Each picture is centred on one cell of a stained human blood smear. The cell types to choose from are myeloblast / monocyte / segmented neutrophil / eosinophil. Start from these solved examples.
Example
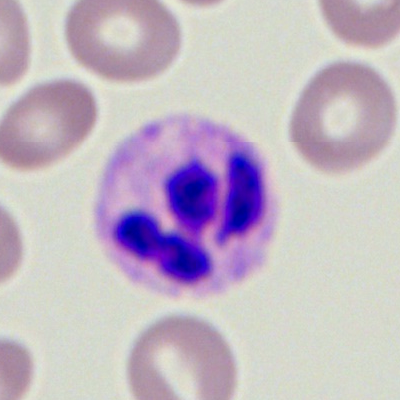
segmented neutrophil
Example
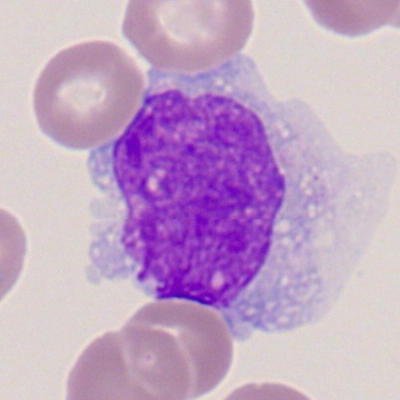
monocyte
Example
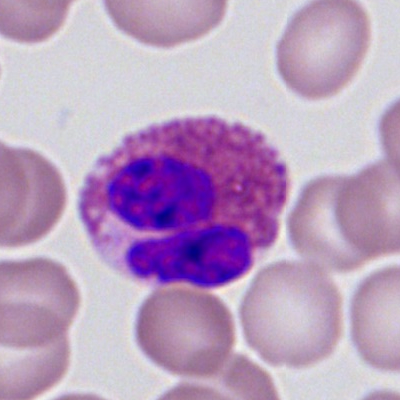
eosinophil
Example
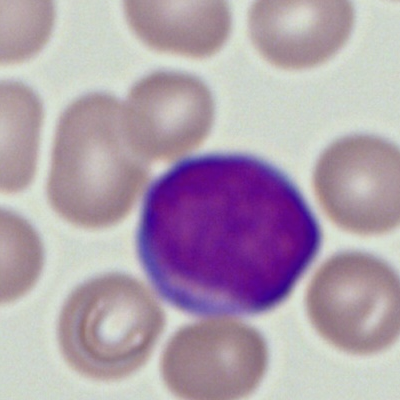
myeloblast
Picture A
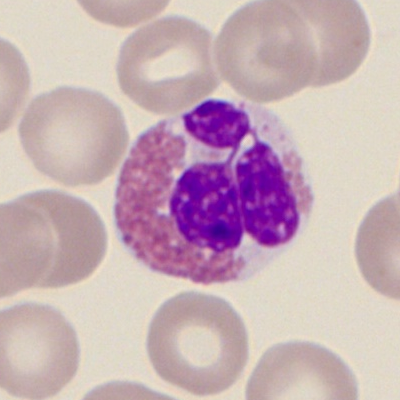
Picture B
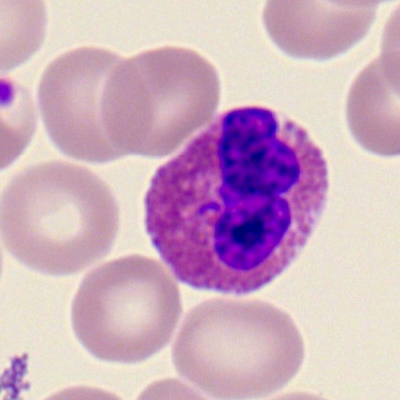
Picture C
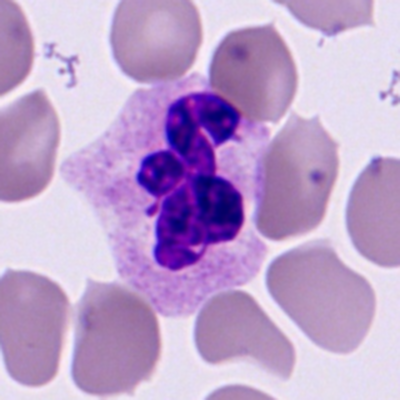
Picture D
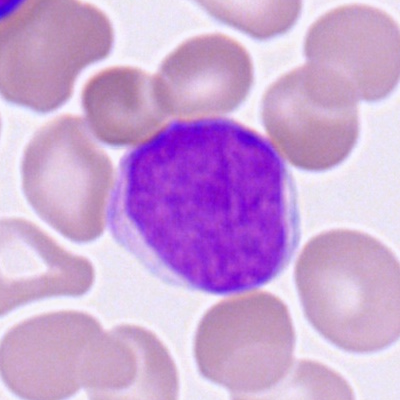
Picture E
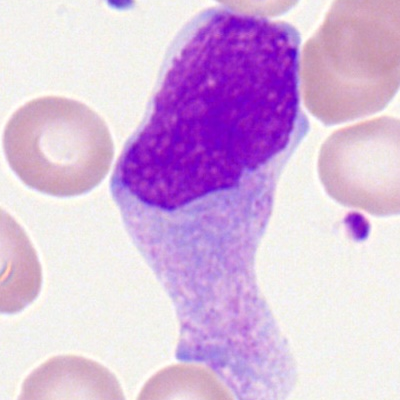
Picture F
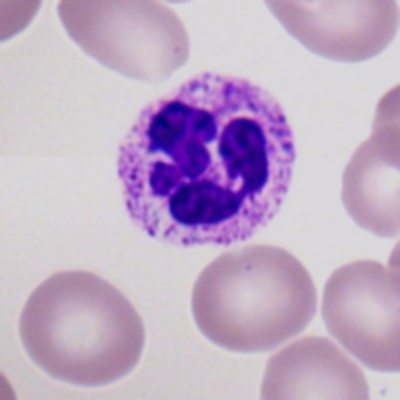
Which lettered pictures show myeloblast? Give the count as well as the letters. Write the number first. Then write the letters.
1: D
